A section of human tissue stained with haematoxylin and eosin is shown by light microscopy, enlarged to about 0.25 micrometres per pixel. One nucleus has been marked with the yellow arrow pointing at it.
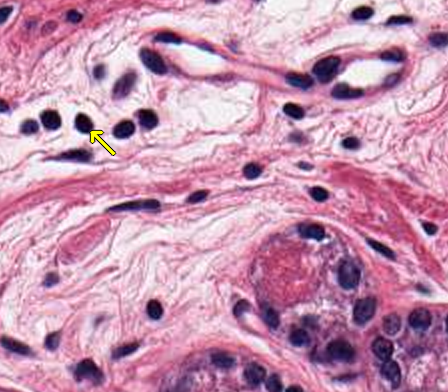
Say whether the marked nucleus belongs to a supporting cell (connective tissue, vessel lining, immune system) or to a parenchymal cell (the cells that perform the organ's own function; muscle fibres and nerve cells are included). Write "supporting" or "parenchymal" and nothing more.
supporting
